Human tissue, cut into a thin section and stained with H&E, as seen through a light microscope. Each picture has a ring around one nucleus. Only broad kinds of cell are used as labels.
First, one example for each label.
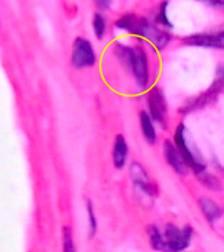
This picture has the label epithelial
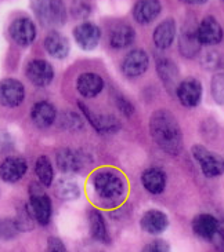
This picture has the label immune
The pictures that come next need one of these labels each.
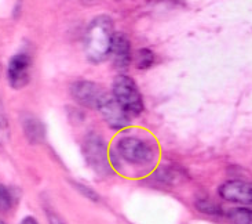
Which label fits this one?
epithelial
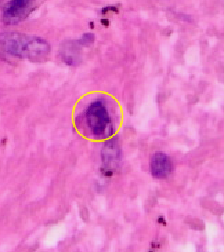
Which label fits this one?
immune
